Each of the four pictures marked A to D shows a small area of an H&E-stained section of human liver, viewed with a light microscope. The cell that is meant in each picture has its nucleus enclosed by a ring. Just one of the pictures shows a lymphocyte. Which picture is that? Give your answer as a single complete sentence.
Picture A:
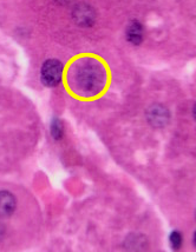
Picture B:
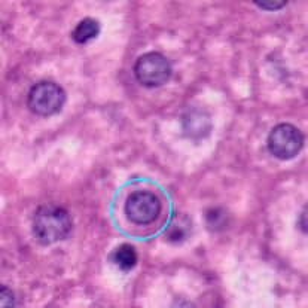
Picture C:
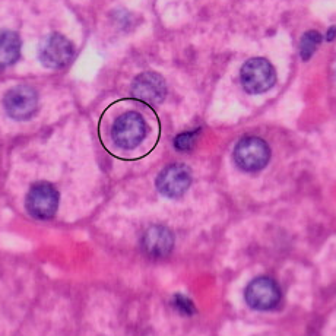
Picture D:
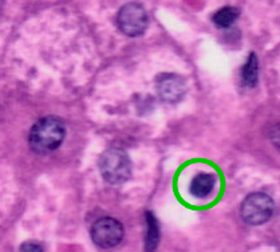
It is picture D that shows the lymphocyte.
